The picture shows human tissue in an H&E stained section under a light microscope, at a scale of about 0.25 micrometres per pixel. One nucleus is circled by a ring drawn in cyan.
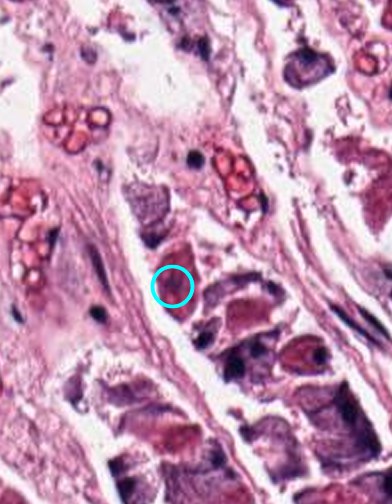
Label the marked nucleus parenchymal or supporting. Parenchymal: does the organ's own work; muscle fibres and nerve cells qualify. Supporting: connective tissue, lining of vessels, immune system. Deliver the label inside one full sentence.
The marked nucleus is that of a parietal cell, which is a parenchymal cell.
